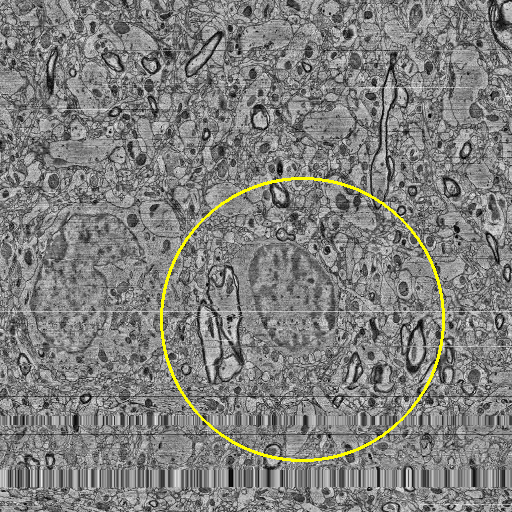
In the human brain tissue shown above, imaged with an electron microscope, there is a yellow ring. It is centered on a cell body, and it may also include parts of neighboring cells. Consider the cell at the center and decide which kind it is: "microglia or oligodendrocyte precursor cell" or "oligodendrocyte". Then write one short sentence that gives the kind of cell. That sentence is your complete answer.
This centered cell body is that of an oligodendrocyte.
